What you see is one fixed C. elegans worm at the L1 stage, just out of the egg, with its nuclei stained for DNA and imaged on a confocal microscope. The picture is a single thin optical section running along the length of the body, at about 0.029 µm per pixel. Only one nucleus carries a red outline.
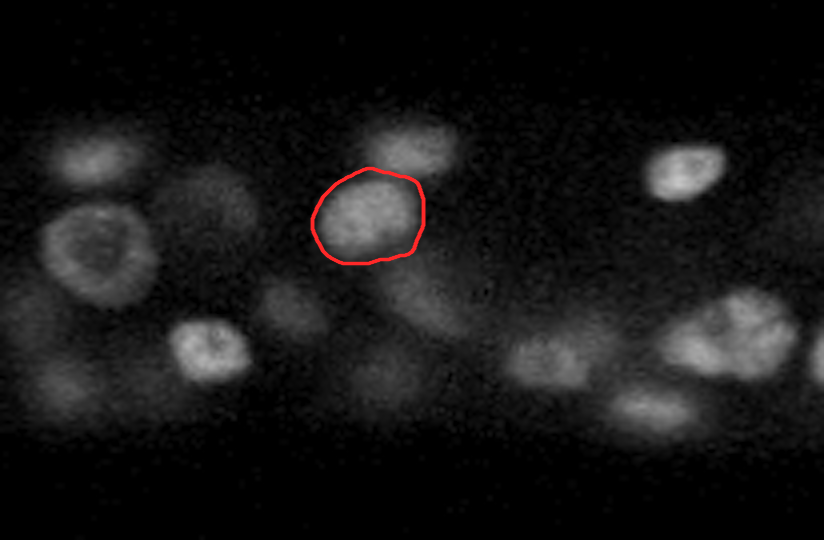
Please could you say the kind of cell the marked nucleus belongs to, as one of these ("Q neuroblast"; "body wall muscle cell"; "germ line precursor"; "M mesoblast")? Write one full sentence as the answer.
What is marked is the nucleus of a Q neuroblast.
